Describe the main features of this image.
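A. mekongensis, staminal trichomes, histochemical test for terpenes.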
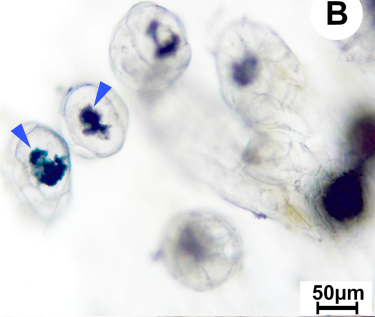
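The heads are oval to spherical with thin, clear walls. Inside several of them sits a compact, irregular dark blue-black inclusion, while others show only faint grey content. The heads are scattered separately against a pale background, with a larger dark mass at one edge.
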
